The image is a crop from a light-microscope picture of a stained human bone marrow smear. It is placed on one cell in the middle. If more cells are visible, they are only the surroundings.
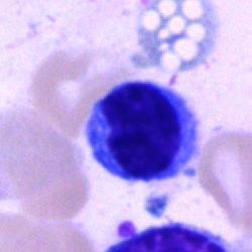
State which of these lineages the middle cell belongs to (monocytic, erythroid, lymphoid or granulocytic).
lymphoid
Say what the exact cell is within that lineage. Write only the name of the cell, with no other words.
lymphocyte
